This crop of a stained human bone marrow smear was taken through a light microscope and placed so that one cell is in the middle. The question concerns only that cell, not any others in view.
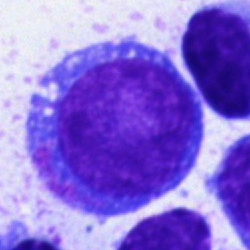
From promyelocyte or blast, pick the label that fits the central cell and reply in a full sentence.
The central cell in this smear crop is a blast.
